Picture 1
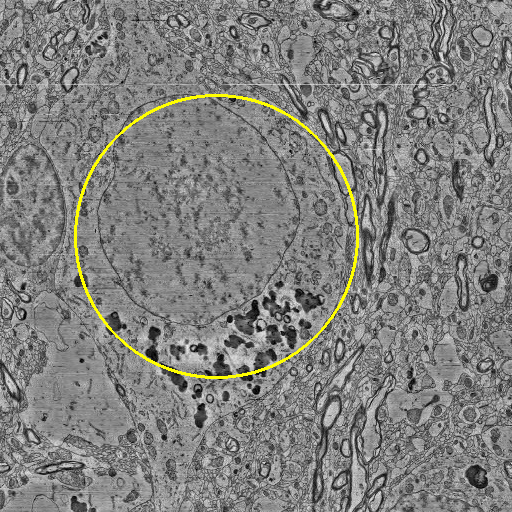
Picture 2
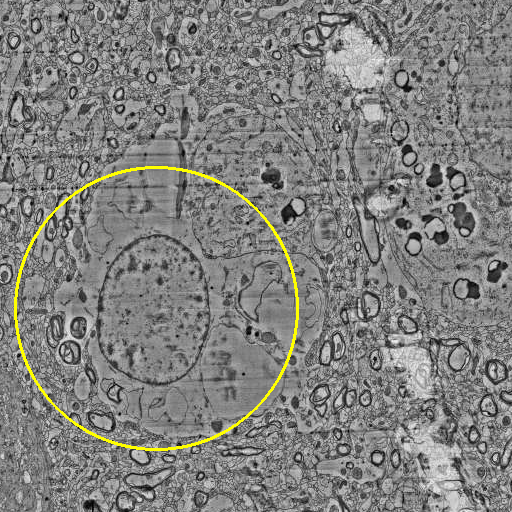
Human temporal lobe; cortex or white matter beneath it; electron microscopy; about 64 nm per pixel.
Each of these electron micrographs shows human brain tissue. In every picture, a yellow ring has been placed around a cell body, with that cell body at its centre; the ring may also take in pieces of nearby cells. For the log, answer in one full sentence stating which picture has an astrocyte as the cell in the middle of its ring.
In picture 2, the cell at the centre of the yellow ring is the requested one.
